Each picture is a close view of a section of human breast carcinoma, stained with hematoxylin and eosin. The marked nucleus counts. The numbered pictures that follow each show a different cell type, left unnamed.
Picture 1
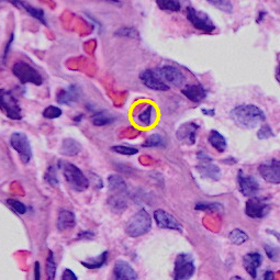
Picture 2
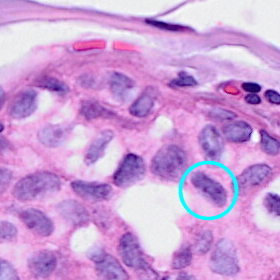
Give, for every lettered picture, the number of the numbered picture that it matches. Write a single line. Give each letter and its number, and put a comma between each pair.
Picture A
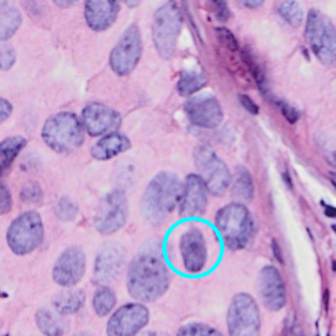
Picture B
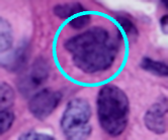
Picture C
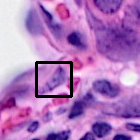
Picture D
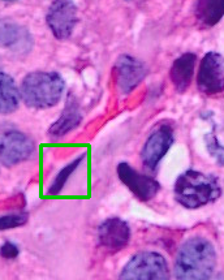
A 2, B 2, C 1, D 1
